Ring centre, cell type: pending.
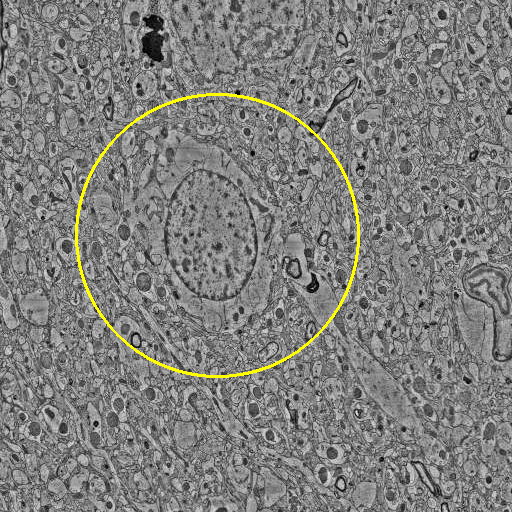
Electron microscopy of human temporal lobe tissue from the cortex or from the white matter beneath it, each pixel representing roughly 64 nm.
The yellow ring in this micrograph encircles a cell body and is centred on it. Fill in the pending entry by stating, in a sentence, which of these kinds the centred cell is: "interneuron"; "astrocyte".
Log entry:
The centred cell is recorded as an astrocyte.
